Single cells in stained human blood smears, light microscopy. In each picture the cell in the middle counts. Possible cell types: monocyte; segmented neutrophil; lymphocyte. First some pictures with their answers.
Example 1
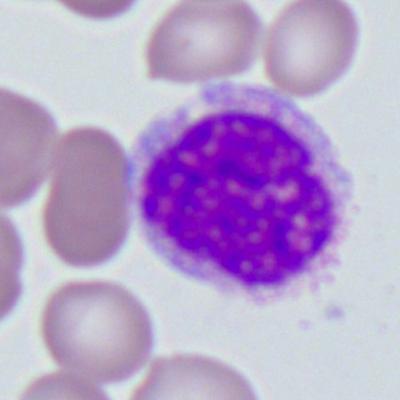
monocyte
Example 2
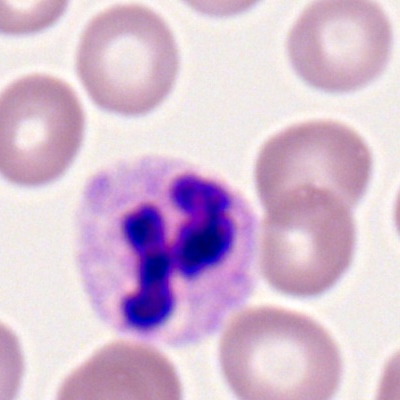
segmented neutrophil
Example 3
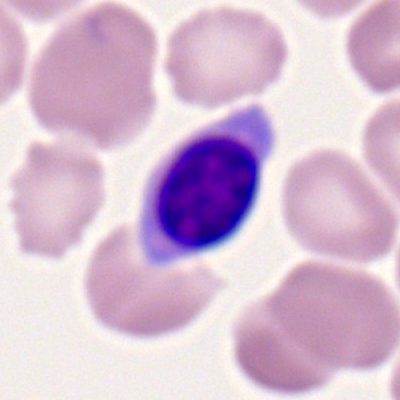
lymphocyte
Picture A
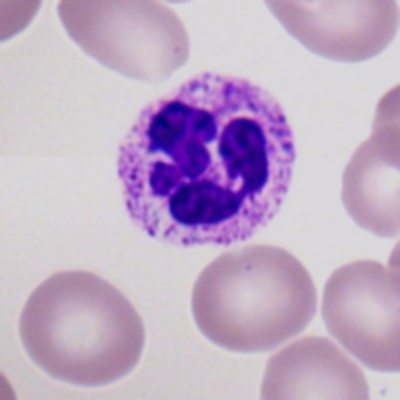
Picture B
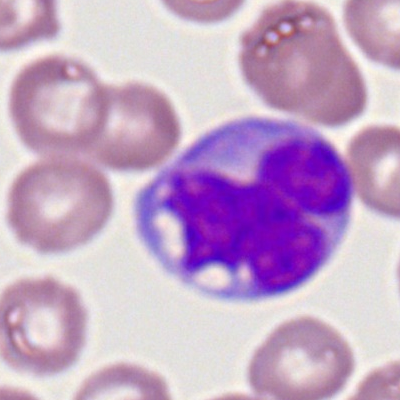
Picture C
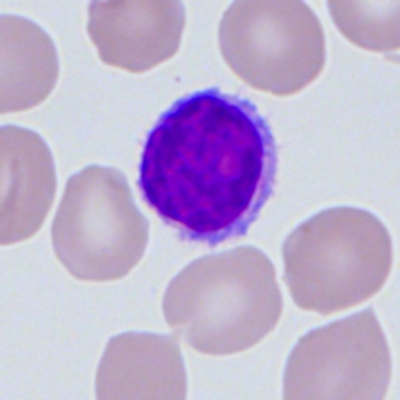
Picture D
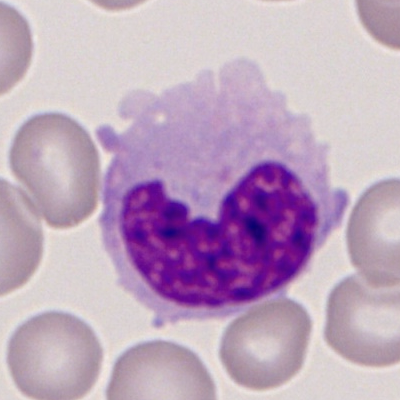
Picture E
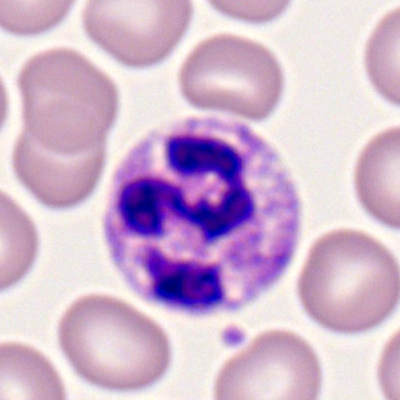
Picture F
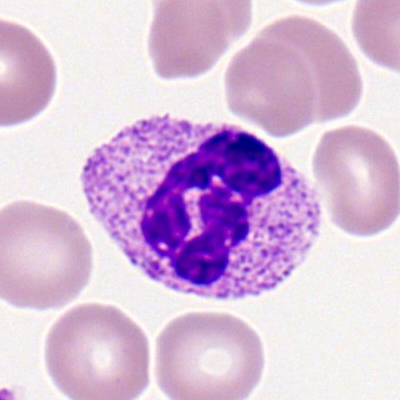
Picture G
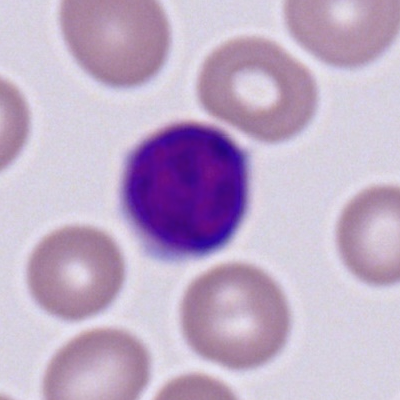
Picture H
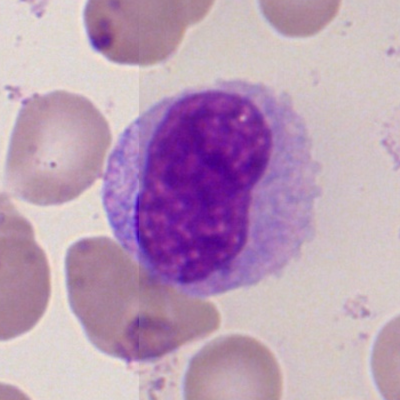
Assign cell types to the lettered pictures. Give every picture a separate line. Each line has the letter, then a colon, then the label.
A: segmented neutrophil
B: monocyte
C: lymphocyte
D: monocyte
E: segmented neutrophil
F: segmented neutrophil
G: lymphocyte
H: monocyte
